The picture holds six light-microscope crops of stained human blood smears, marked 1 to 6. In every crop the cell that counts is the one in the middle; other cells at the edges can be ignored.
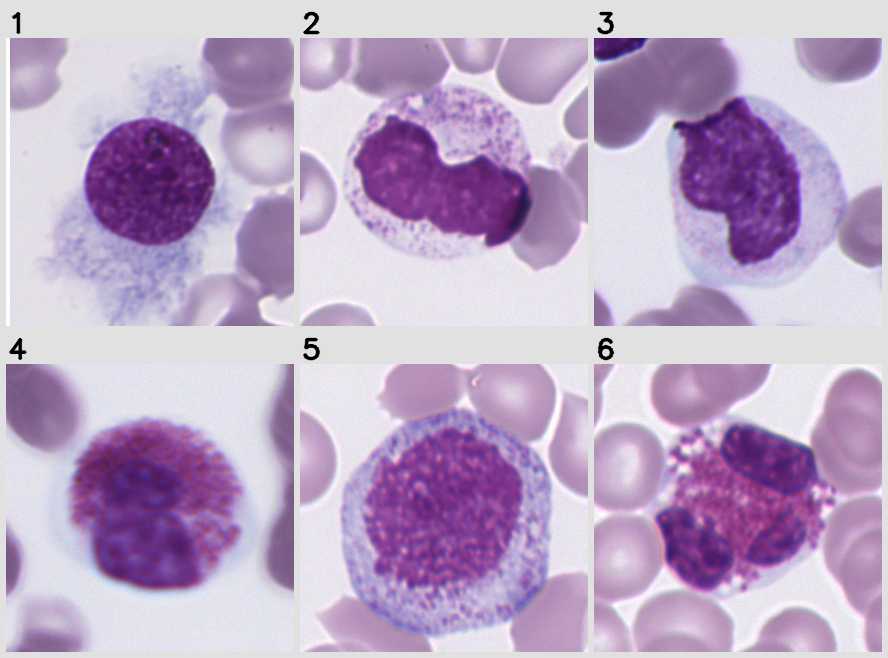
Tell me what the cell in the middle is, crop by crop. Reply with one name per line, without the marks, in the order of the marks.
hairy cell
band neutrophil
metamyelocyte
eosinophil
promyelocyte
eosinophil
